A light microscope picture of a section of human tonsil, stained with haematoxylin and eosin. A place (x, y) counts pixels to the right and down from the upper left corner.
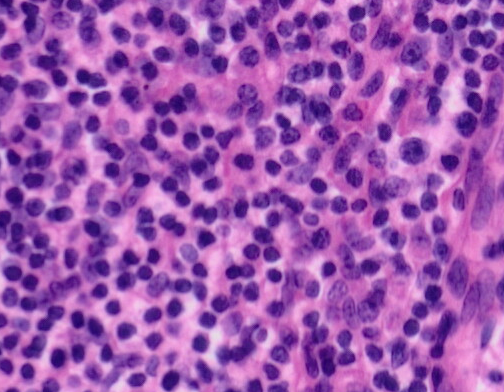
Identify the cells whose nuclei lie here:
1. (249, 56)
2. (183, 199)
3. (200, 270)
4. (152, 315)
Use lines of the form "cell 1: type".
cell 1: plasma cell
cell 2: small lymphocyte
cell 3: small lymphocyte
cell 4: small lymphocyte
